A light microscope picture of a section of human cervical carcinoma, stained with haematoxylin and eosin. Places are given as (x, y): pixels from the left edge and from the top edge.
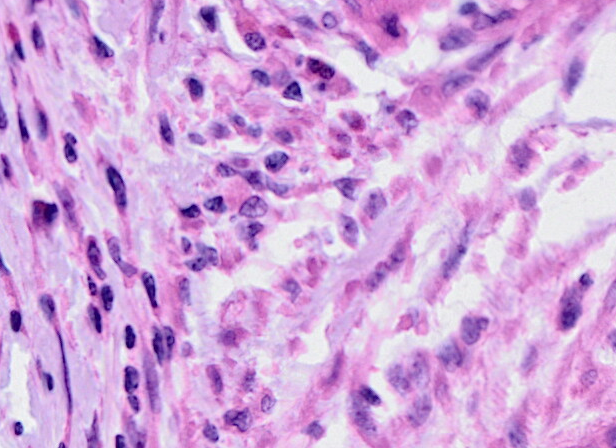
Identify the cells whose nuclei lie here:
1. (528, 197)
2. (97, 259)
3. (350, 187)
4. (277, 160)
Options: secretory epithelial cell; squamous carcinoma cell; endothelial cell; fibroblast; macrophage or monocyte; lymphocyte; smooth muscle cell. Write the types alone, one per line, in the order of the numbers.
fibroblast
macrophage or monocyte
fibroblast
lymphocyte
